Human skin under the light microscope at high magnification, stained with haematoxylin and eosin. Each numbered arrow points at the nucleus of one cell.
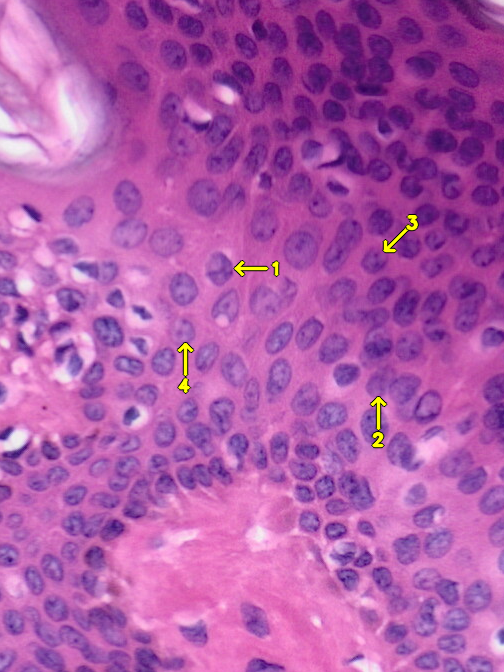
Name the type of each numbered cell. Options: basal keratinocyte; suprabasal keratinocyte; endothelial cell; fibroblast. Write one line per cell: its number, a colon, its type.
1: suprabasal keratinocyte
2: basal keratinocyte
3: suprabasal keratinocyte
4: suprabasal keratinocyte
